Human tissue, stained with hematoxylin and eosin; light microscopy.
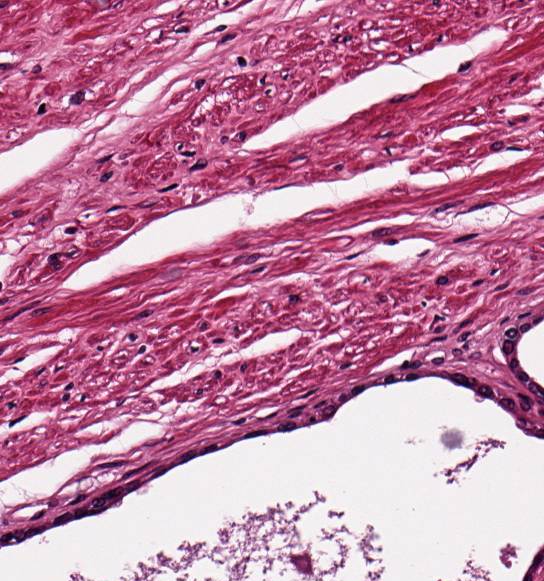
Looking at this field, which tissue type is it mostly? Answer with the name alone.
fibromuscular stroma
